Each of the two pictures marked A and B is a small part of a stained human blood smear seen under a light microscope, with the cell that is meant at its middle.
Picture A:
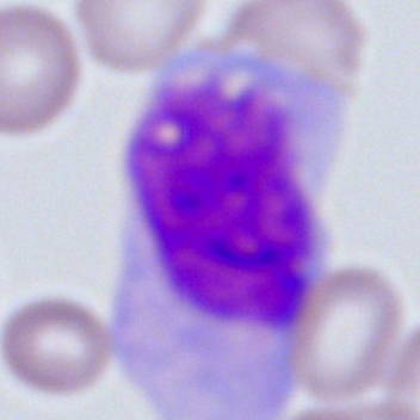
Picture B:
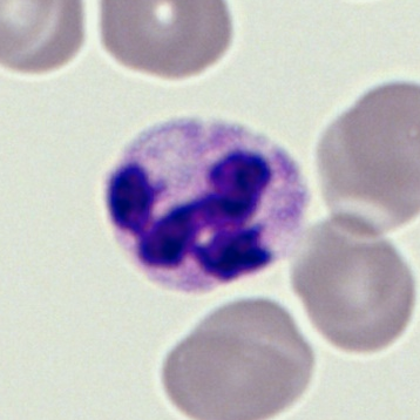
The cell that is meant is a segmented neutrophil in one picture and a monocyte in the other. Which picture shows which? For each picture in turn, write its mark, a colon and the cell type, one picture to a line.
A: monocyte
B: segmented neutrophil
